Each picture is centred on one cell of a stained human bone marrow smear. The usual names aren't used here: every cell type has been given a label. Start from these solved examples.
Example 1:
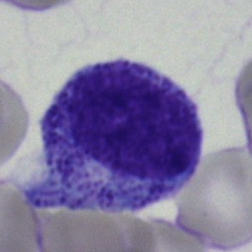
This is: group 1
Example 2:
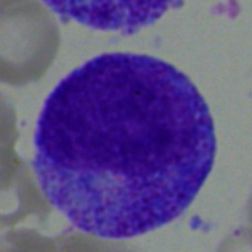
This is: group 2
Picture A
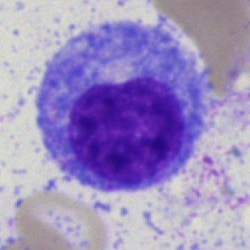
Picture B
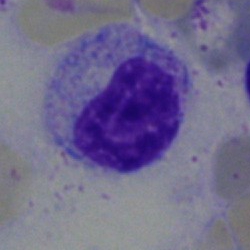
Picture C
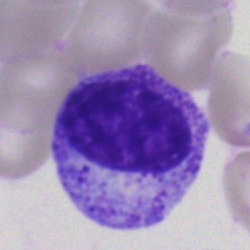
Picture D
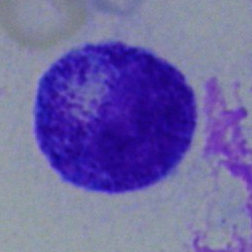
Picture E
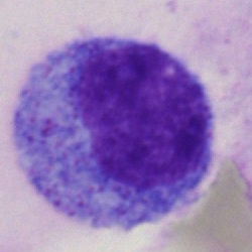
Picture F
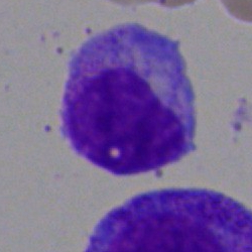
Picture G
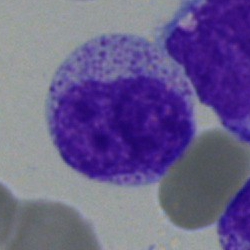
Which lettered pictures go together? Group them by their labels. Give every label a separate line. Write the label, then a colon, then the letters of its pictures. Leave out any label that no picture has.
group 1: B, C, F, G
group 2: A, D, E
